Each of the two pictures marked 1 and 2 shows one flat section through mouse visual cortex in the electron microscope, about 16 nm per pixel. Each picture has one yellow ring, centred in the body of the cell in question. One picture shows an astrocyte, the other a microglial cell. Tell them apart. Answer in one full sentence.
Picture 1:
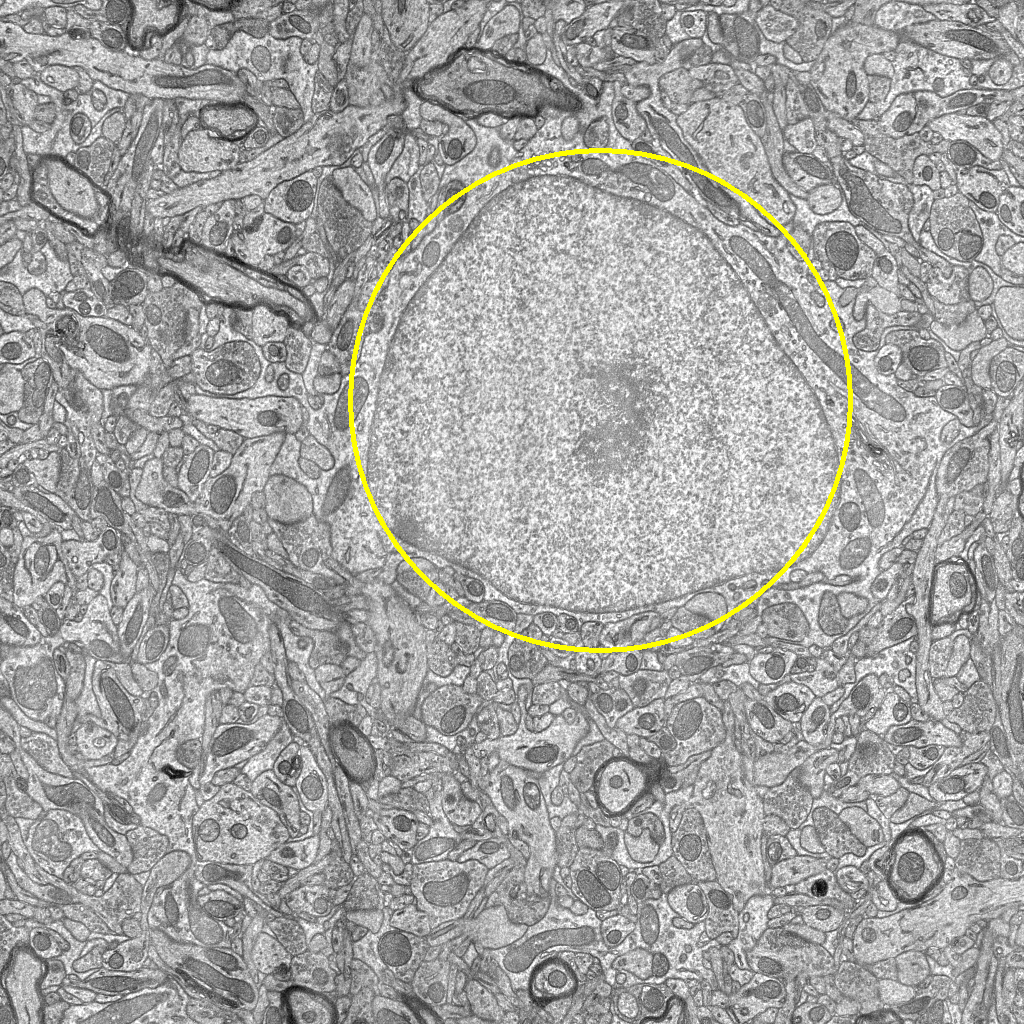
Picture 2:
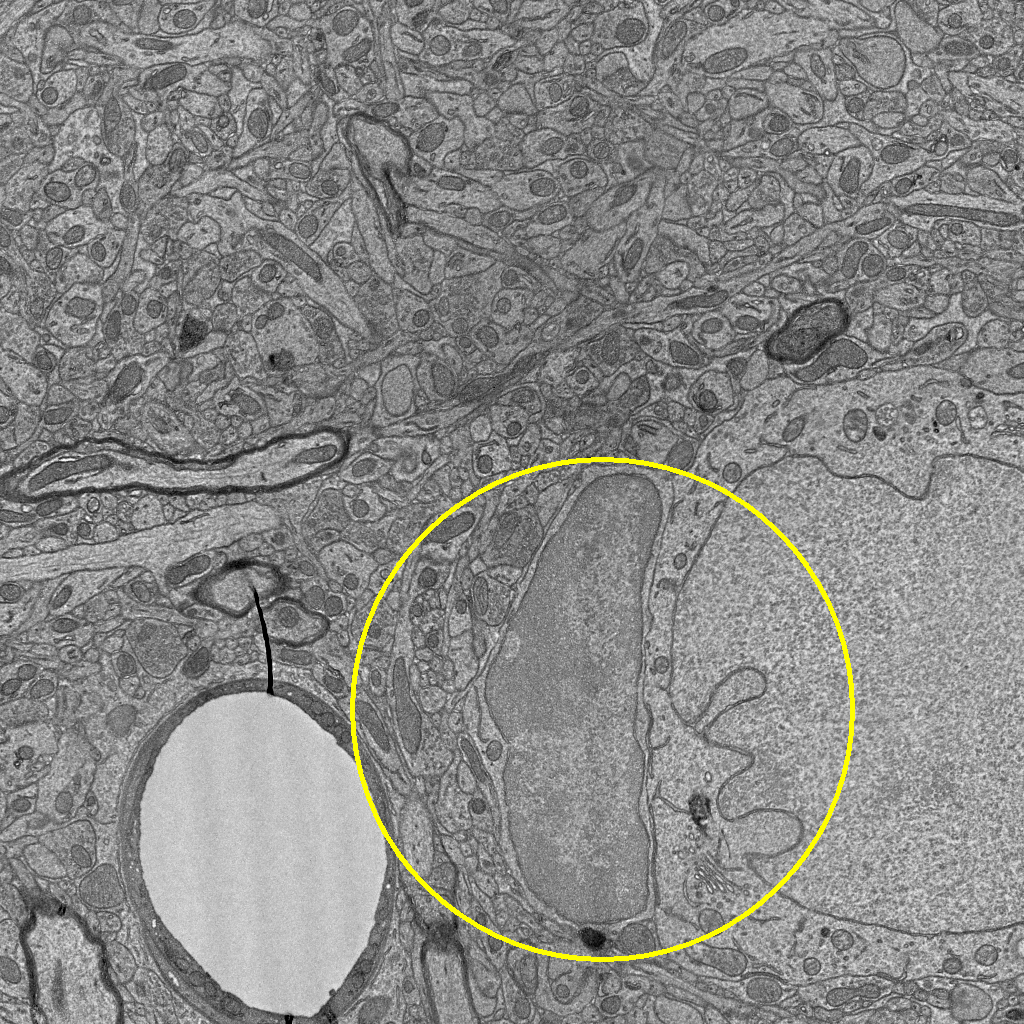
In picture 1 the cell is an astrocyte; in picture 2, a microglial cell.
